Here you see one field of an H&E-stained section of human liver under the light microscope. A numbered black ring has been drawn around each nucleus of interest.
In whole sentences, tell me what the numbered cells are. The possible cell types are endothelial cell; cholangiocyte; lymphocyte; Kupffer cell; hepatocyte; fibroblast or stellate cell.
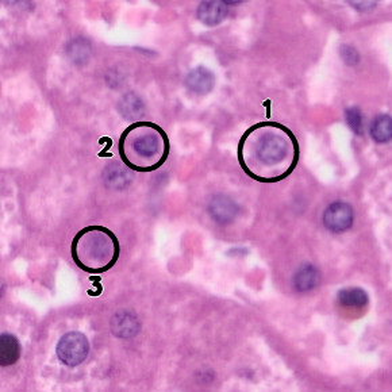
Cells 1 and 3 are hepatocytes. Cell 2 is a fibroblast or stellate cell.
